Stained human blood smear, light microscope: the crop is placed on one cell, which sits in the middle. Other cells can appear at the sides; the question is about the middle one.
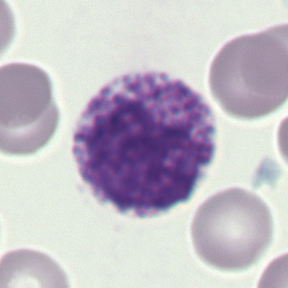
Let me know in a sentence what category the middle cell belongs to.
The cell under consideration, at the middle of the crop, is a basophil.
